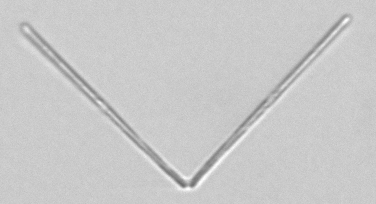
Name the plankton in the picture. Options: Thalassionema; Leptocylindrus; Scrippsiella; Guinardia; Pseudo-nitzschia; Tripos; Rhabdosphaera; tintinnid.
Thalassionema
